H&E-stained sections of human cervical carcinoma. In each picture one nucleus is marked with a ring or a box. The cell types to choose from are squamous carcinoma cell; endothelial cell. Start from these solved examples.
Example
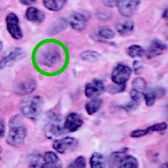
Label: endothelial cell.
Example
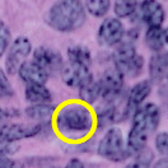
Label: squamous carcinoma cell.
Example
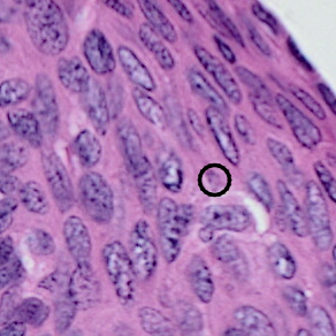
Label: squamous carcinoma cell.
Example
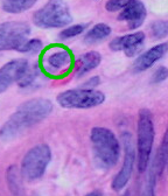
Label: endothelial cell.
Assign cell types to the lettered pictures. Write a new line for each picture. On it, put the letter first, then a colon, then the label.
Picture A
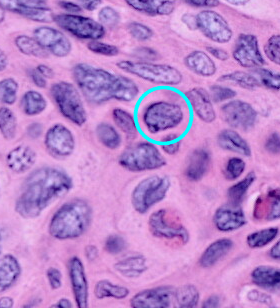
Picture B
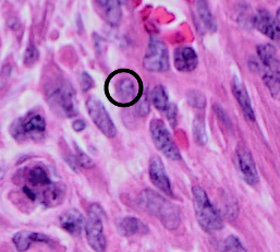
A: squamous carcinoma cell.
B: endothelial cell.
